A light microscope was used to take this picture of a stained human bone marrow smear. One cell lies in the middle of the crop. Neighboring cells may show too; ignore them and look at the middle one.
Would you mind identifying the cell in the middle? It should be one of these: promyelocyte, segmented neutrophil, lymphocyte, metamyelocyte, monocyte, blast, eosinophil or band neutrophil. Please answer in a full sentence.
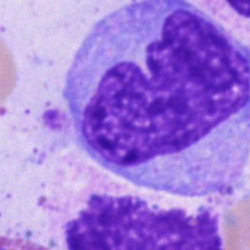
The middle position in this crop is taken by a monocyte.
